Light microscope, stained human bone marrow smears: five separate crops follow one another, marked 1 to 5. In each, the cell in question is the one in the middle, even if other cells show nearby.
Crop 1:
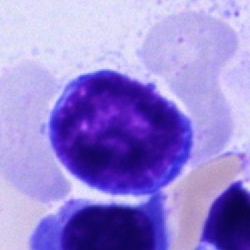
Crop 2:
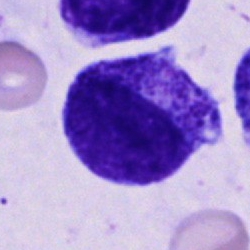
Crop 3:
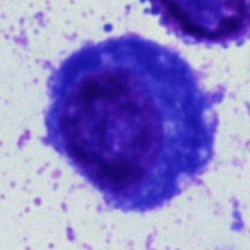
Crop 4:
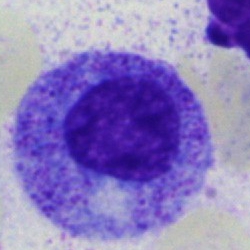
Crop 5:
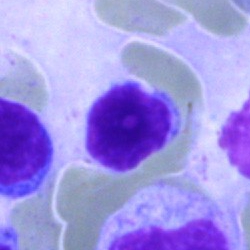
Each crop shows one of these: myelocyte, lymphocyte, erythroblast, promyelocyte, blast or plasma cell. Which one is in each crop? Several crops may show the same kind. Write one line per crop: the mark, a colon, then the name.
1: lymphocyte
2: promyelocyte
3: plasma cell
4: myelocyte
5: lymphocyte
